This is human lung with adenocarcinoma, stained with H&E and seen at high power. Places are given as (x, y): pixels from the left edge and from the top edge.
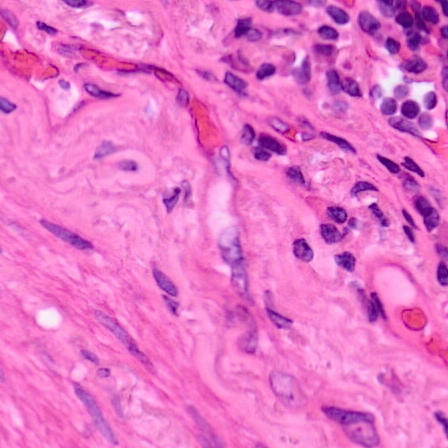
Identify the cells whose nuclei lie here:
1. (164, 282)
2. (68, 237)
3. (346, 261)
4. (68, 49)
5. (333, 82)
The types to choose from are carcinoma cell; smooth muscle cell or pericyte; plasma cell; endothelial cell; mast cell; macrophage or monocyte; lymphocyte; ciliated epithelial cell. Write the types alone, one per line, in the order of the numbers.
smooth muscle cell or pericyte
smooth muscle cell or pericyte
lymphocyte
endothelial cell
plasma cell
